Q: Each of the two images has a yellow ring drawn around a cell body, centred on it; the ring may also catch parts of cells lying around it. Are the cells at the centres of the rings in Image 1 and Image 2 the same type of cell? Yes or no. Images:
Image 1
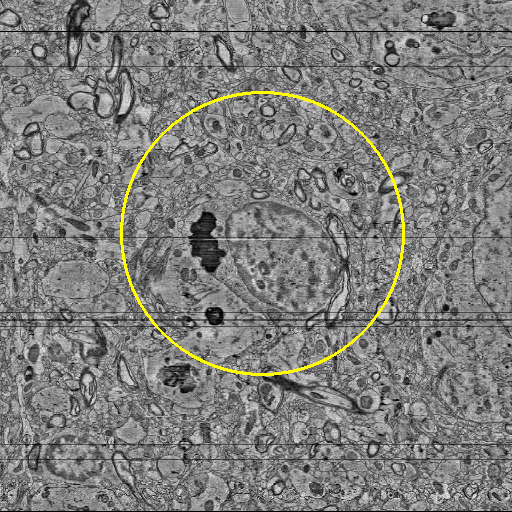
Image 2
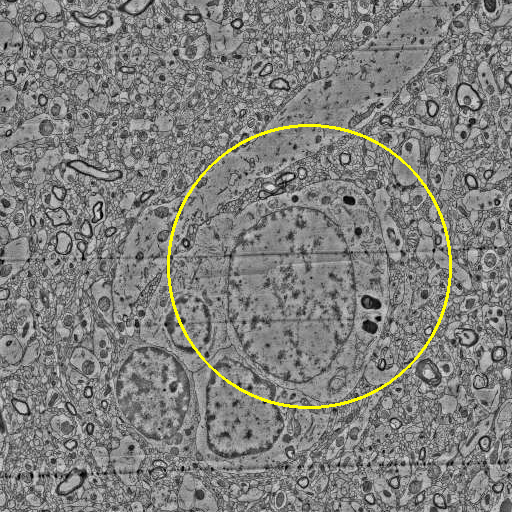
no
